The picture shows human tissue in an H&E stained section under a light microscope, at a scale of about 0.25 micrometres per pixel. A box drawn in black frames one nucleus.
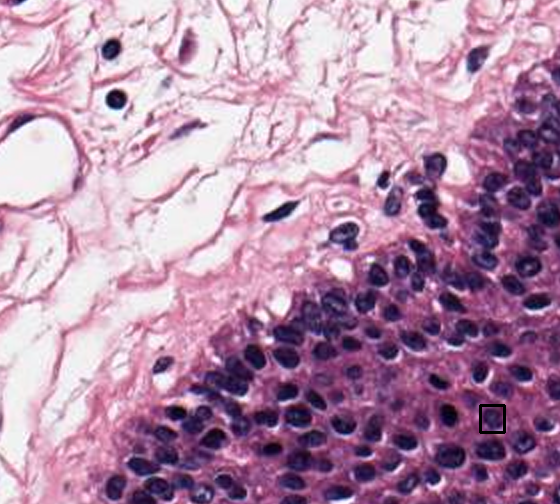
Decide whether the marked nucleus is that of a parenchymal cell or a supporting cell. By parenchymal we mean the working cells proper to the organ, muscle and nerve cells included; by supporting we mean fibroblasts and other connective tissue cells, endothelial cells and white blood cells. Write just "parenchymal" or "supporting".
parenchymal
